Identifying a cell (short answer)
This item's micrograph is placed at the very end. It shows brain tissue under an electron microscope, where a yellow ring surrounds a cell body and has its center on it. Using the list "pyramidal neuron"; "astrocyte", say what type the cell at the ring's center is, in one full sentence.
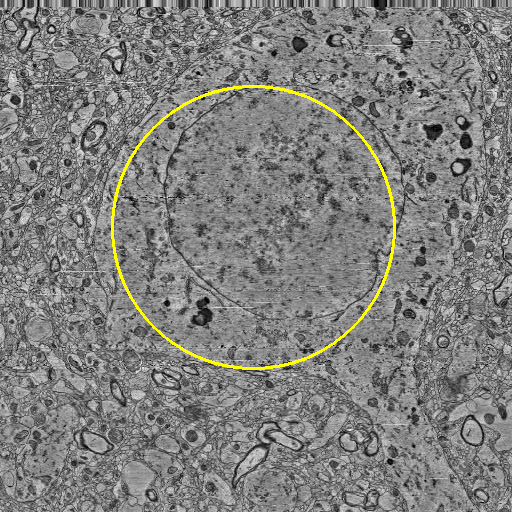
This picture shows a pyramidal neuron at the center of the yellow ring drawn on it.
